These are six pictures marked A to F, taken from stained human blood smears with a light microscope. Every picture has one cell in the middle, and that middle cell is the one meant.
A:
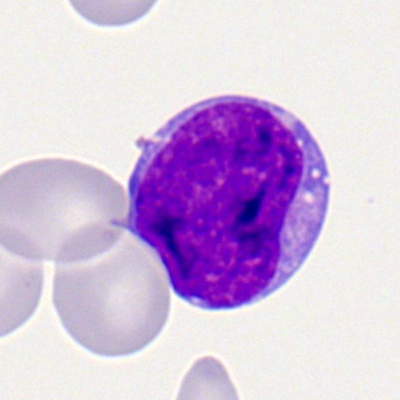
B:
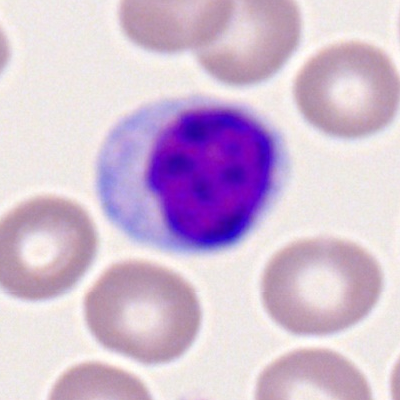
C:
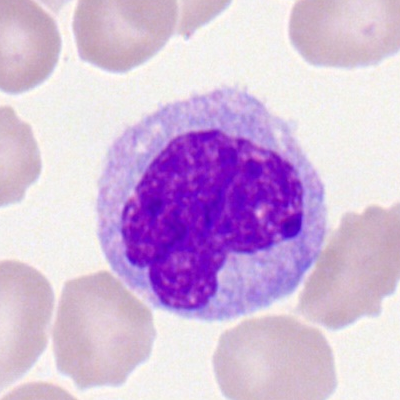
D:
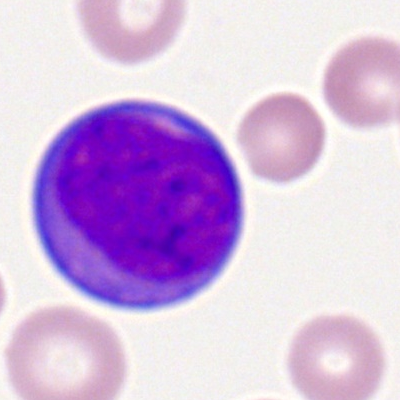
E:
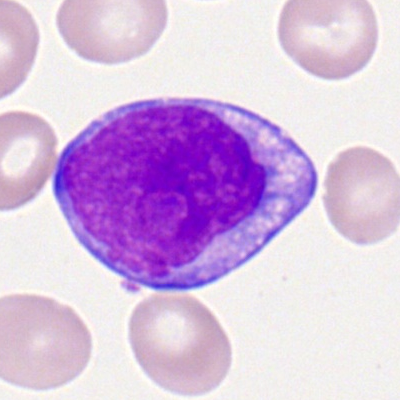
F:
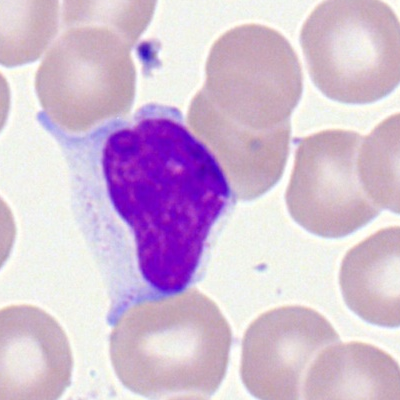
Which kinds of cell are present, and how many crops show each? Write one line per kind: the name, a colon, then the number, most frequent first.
myeloblast: 3
lymphocyte: 2
monocyte: 1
